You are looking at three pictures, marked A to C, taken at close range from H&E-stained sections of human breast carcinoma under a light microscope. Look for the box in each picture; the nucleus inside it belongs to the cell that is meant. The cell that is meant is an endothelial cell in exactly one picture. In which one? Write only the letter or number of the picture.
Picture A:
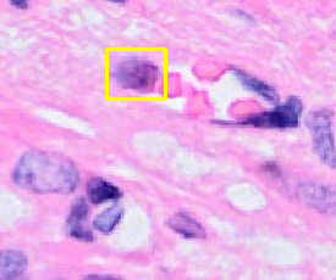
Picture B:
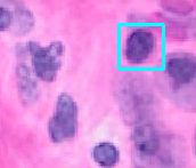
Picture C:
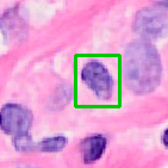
A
